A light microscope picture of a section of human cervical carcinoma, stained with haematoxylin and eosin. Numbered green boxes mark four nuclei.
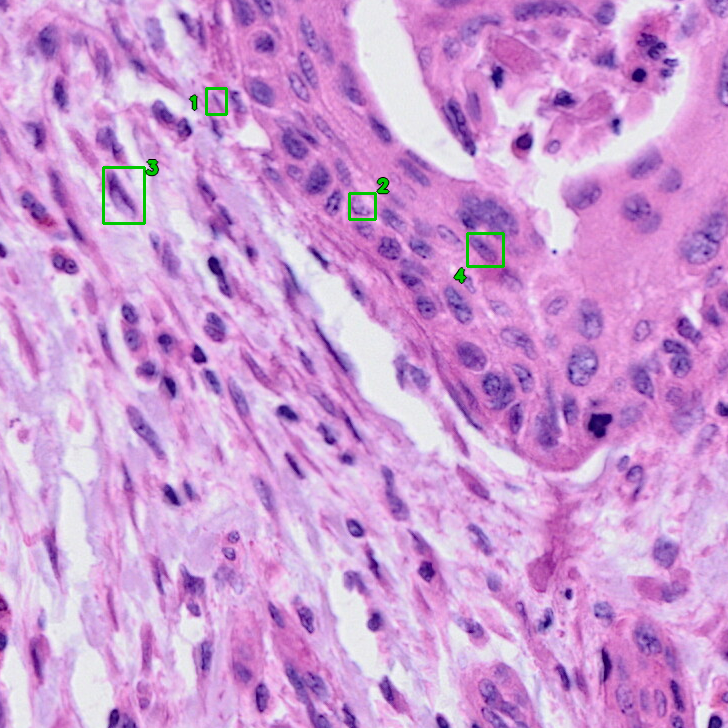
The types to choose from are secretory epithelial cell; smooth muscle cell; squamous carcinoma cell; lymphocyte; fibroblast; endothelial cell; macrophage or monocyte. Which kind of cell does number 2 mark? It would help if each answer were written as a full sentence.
The one labeled 2 is a squamous carcinoma cell, to put it simply.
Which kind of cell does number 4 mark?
Cell 4, as marked in the section, is a squamous carcinoma cell.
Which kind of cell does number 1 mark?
Cell 1 in the field of view is a fibroblast.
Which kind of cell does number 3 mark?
Number 3 is placed on a fibroblast here.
